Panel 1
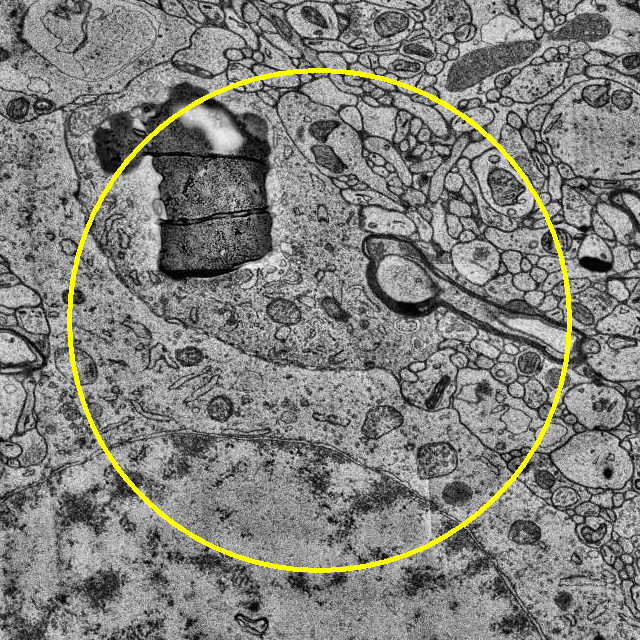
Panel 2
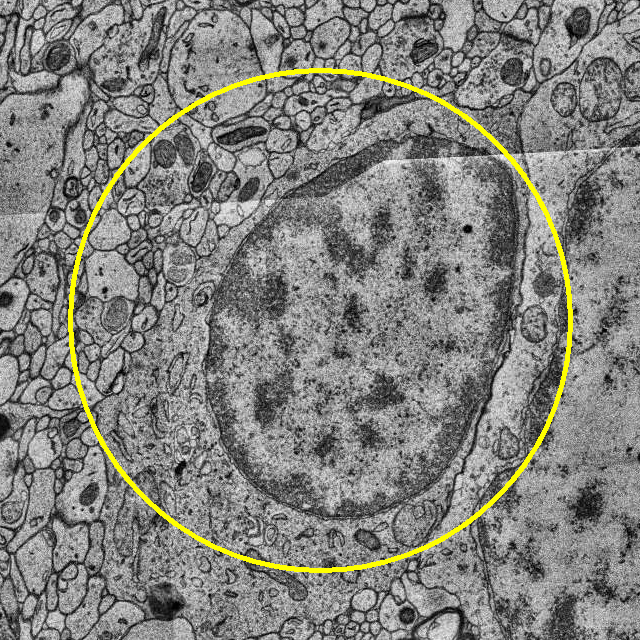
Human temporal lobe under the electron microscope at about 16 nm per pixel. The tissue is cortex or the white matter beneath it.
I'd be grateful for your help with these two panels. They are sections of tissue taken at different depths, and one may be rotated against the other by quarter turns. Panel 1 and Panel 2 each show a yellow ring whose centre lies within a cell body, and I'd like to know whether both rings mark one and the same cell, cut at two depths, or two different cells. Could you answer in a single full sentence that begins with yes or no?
Yes, the marked cell is the same in both rings.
